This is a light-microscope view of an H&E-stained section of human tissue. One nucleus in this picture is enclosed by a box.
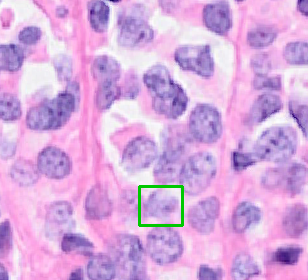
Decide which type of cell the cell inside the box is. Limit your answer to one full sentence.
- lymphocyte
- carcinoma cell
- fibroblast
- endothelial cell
In short, the cell inside the box on this section is a carcinoma cell.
